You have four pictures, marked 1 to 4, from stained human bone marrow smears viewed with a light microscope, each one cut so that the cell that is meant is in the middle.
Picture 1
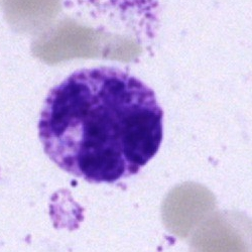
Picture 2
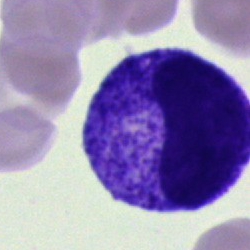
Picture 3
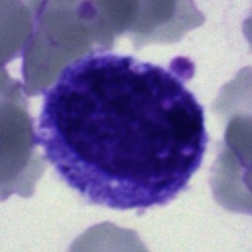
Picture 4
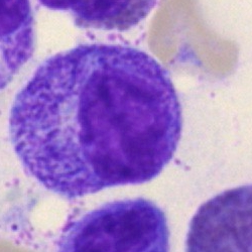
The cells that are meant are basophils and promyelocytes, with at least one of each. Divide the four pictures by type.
1: basophil
2: promyelocyte
3: promyelocyte
4: promyelocyte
